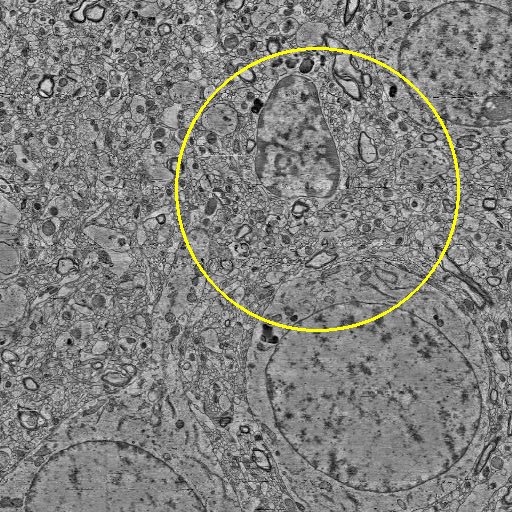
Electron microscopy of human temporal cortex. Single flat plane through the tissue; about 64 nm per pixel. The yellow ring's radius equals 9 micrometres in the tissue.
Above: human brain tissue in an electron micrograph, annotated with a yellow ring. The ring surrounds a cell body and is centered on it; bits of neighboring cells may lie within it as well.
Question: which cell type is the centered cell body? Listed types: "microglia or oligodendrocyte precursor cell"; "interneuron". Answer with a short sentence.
The centered cell body is a microglial cell or oligodendrocyte precursor cell.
